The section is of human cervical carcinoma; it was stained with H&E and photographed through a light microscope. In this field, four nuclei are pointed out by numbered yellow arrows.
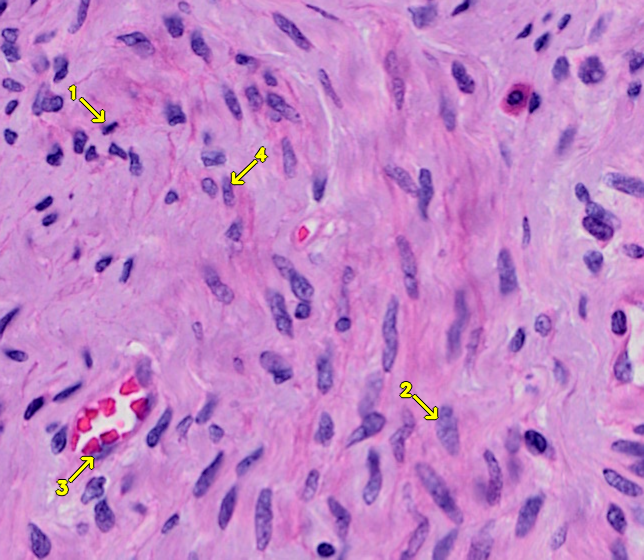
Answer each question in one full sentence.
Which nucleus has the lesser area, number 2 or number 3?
Nucleus 3 covers less area, with nucleus 2 about 2.5 times as large.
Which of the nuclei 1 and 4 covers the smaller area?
Nucleus 1 covers less area, with nucleus 4 about 1.5 times as large.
